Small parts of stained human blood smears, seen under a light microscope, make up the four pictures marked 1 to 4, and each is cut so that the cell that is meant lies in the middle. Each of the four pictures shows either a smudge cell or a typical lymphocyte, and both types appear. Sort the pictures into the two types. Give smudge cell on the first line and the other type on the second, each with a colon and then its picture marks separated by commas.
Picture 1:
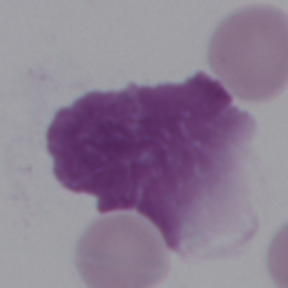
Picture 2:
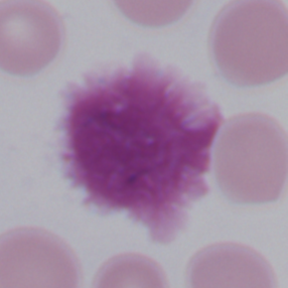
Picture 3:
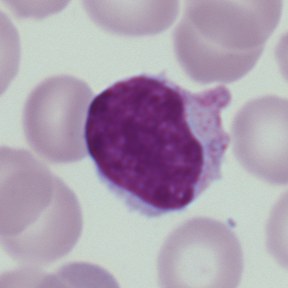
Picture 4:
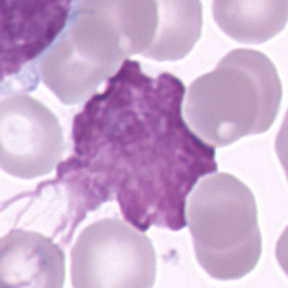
smudge cell: 1, 2, 4
typical lymphocyte: 3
